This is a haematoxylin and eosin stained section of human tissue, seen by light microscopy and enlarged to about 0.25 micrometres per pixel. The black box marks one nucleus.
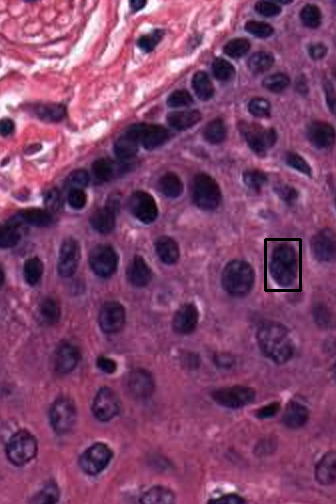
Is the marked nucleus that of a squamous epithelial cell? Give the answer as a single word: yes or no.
yes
